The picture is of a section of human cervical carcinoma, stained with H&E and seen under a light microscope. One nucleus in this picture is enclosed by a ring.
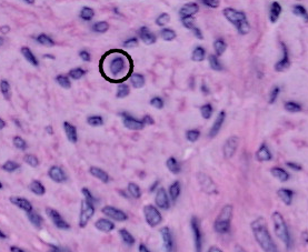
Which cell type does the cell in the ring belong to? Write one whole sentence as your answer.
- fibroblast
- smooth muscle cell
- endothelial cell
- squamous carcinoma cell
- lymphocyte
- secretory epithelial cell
The cell in the ring is a smooth muscle cell.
